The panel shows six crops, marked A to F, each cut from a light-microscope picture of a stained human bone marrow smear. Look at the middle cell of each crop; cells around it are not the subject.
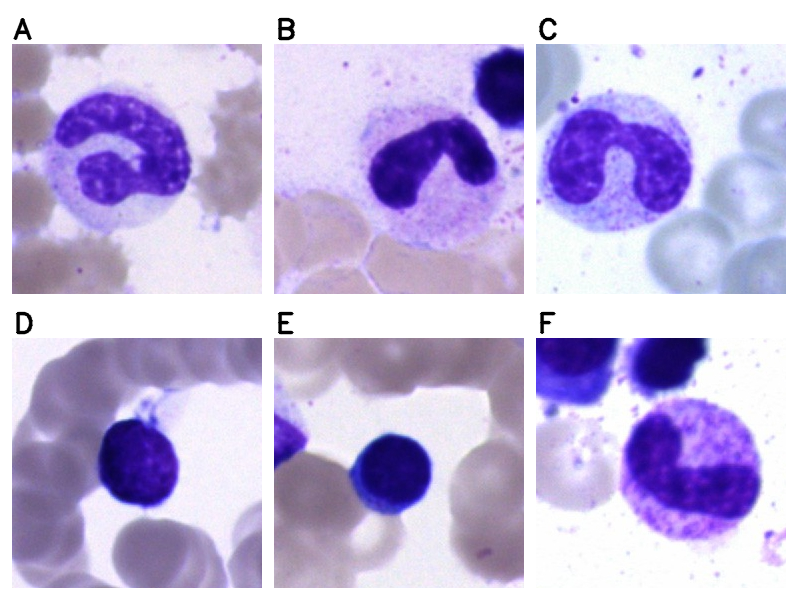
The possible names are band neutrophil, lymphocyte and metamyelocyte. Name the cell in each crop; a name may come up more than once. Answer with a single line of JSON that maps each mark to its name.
{"A": "band neutrophil", "B": "band neutrophil", "C": "band neutrophil", "D": "lymphocyte", "E": "lymphocyte", "F": "band neutrophil"}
